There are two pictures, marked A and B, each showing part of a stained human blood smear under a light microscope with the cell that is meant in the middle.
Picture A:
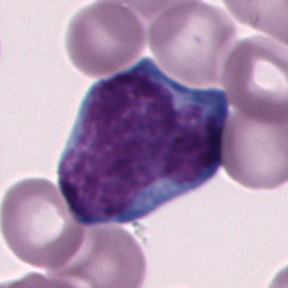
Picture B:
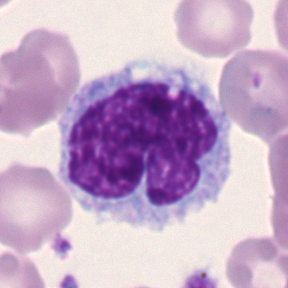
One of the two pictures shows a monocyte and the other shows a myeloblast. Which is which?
A: myeloblast
B: monocyte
